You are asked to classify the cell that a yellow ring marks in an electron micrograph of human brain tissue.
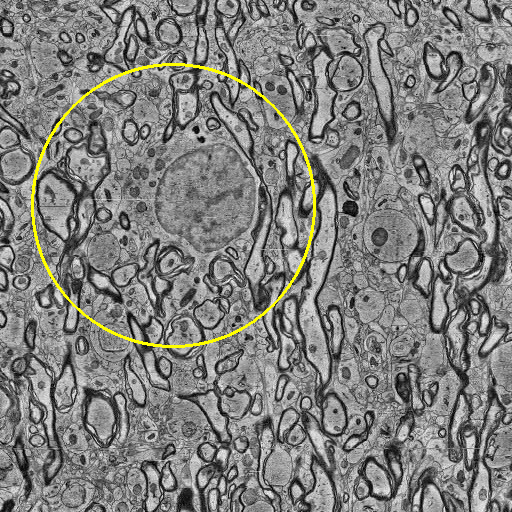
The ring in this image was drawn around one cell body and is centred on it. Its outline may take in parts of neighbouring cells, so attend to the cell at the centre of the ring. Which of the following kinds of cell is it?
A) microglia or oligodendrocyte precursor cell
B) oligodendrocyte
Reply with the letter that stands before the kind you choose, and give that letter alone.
B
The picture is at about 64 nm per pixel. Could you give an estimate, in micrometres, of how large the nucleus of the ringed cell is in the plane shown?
Approximately 7 micrometres across in this plane.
